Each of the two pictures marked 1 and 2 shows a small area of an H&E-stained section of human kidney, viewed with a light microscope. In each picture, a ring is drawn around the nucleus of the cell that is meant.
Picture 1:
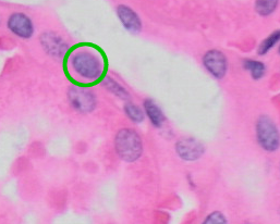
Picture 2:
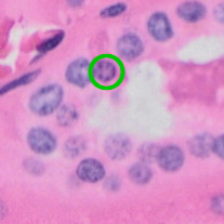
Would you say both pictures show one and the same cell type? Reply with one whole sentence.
Yes, the two pictures both show collecting duct cells.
